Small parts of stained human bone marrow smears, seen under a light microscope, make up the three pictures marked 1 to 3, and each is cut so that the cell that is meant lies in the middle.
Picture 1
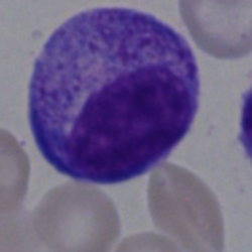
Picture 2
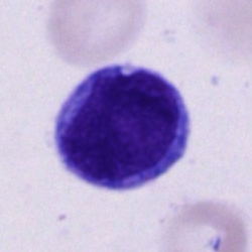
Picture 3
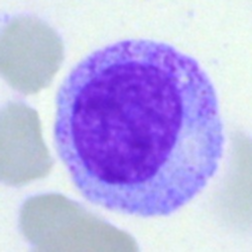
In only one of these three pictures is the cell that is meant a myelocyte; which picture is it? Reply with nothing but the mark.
3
